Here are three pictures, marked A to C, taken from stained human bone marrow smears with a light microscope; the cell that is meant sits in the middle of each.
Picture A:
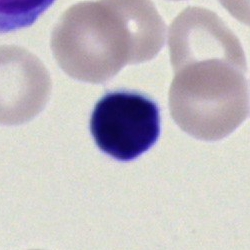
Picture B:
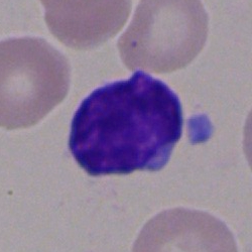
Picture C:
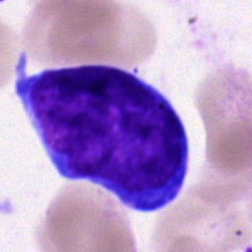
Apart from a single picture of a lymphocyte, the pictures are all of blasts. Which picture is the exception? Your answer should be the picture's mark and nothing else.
A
